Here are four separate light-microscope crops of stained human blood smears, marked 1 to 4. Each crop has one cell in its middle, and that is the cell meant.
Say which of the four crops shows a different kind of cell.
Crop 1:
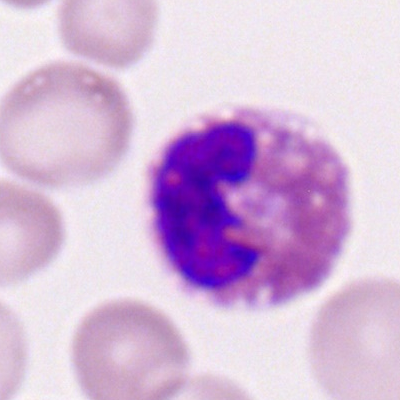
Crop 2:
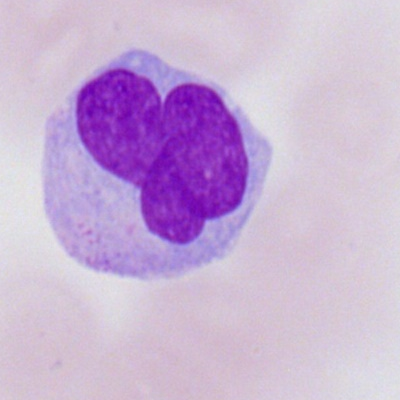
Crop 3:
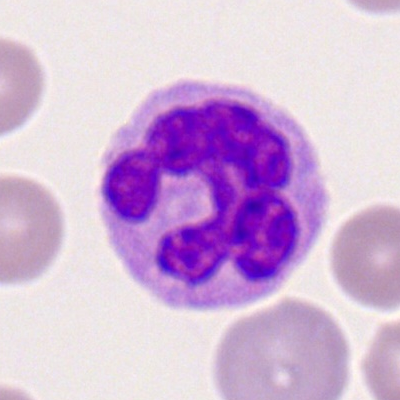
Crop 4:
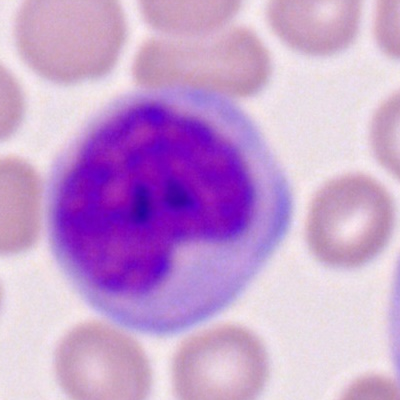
1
